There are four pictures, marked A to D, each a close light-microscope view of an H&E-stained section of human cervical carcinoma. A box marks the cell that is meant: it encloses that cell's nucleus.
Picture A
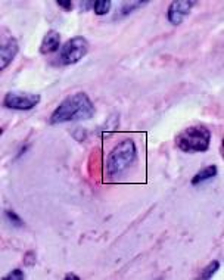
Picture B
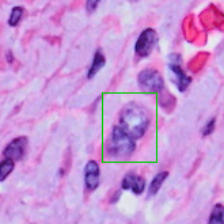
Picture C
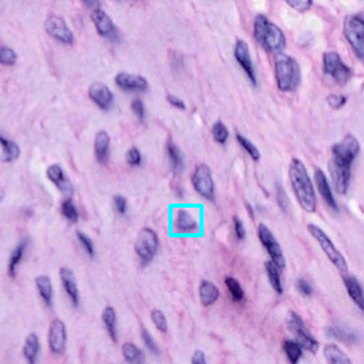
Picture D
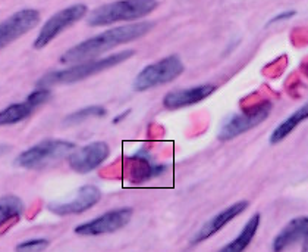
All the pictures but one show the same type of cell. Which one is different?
C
